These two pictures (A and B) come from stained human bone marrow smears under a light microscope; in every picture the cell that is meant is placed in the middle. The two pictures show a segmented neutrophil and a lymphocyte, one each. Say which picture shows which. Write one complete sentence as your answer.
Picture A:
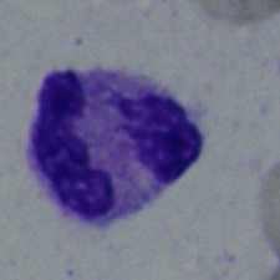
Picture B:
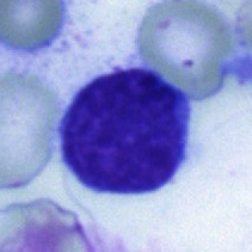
In picture A the cell is a segmented neutrophil; in picture B, a lymphocyte.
